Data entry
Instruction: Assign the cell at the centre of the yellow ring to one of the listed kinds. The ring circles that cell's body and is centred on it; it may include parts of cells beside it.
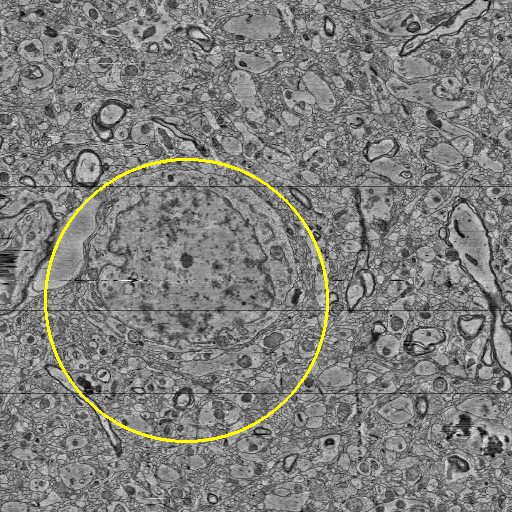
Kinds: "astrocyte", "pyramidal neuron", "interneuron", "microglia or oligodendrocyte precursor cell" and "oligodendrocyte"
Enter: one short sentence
The centre of the ring falls on an interneuron.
